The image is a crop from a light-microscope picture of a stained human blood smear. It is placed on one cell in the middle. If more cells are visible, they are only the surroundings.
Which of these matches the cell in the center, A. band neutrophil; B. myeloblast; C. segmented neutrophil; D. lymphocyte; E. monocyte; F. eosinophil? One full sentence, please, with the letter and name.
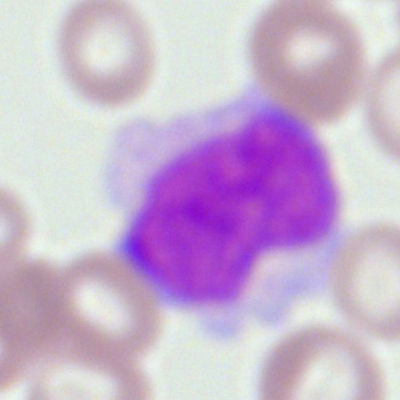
The one to choose is option E, as the cell in the middle is a monocyte.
